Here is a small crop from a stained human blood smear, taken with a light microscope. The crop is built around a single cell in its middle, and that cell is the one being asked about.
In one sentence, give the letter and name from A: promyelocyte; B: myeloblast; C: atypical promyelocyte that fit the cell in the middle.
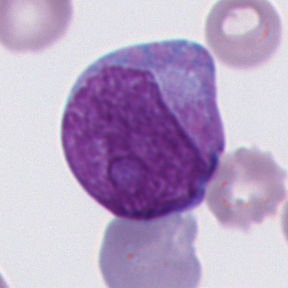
This one is option C, since the cell at the center is an atypical promyelocyte.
